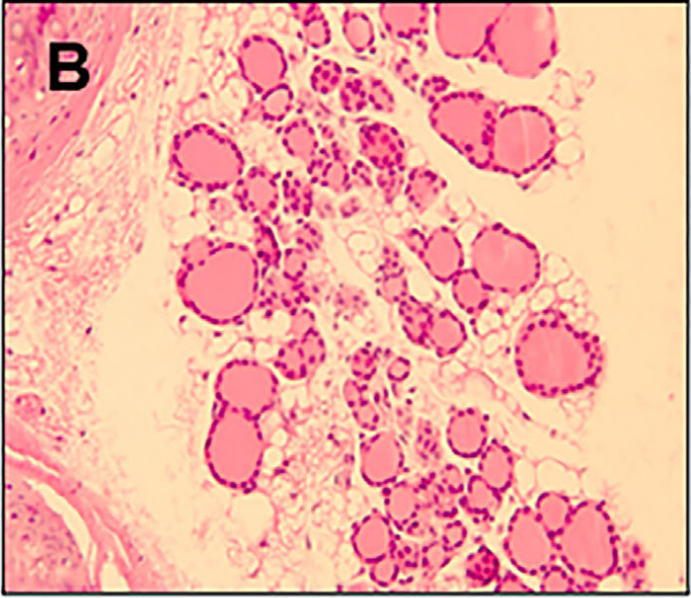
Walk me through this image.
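This is a thyroid gland, but its follicles are few and lie scattered rather than packed together. Each follicle is a rounded space filled with pink colloid and rimmed by a single layer of cells with small dark purple nuclei. Many follicles are small, and some cells form little clusters without a clear central space. Between the follicles there is a great deal of loose, pale tissue and many empty-looking fat cells. Denser, more fibrous pink tissue runs along the left side of the field.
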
